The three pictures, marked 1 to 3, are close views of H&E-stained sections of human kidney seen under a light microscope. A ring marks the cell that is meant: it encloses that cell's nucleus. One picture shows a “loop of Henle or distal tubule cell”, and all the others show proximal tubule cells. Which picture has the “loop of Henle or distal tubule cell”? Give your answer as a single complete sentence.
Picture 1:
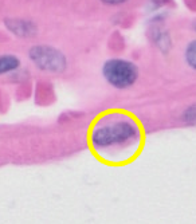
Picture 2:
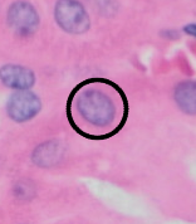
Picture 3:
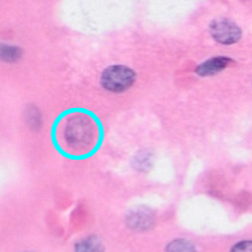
Picture 1 shows the “loop of Henle or distal tubule cell”.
